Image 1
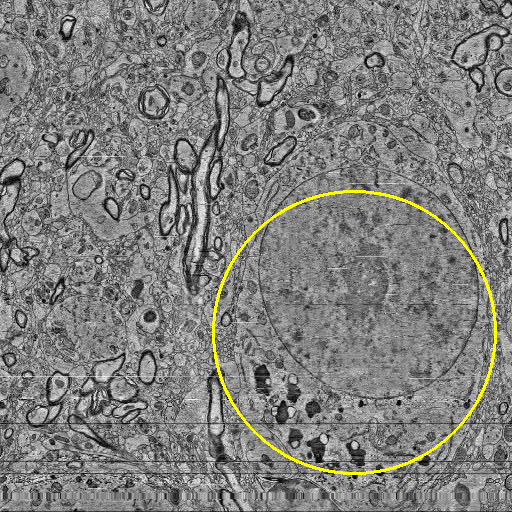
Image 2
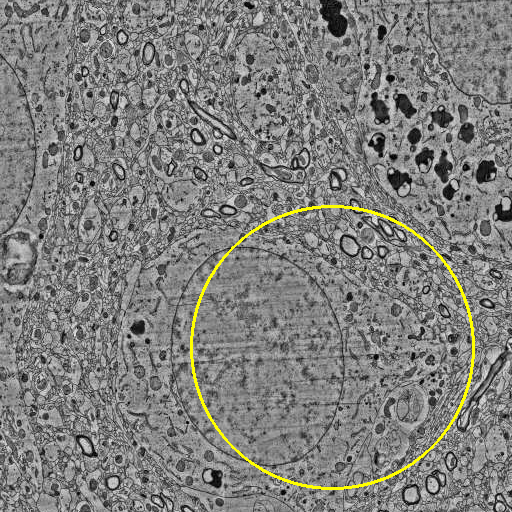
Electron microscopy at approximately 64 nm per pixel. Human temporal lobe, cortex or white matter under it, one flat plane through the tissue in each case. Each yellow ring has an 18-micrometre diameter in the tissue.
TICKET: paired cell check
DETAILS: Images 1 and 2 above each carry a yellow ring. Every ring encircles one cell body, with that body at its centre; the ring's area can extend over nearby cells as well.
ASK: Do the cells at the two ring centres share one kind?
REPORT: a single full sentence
Yes, the ring-centre cells of Images 1 and 2 belong to a single kind.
